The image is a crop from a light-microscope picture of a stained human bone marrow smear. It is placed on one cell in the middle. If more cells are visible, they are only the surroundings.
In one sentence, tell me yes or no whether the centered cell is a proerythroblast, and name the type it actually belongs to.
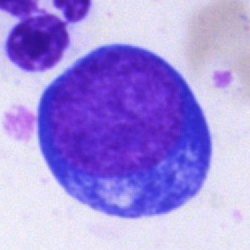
Yes, the cell at the centre of the field is a proerythroblast.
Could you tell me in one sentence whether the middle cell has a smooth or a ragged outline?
Smooth all around, the outline has no projections to report.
